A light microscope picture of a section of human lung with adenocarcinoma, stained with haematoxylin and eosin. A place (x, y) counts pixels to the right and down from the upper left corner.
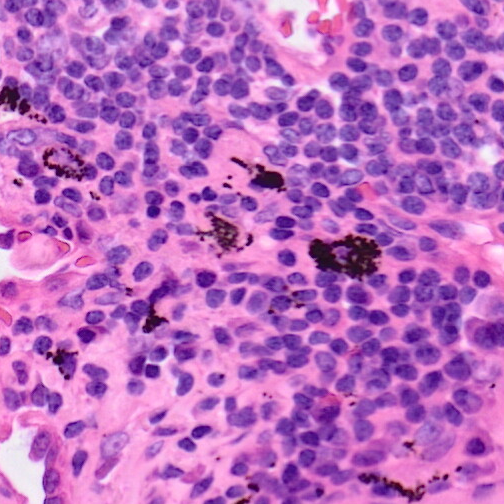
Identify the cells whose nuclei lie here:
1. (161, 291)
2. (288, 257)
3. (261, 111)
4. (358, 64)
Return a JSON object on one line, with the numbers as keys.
{"1": "plasma cell", "2": "lymphocyte", "3": "lymphocyte", "4": "lymphocyte"}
